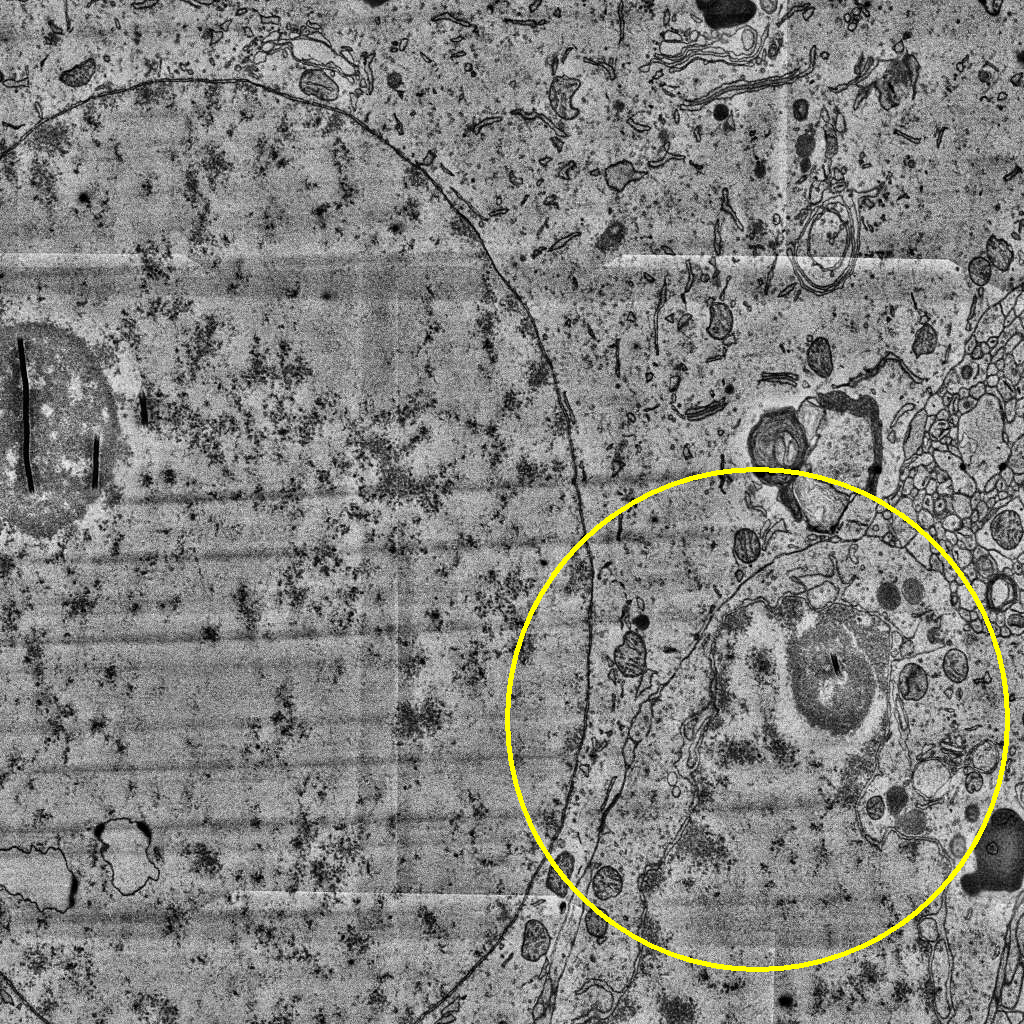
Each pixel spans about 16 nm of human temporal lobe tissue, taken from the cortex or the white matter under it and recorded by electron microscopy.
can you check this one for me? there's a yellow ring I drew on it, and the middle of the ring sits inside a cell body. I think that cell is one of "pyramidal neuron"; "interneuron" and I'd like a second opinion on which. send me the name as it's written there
interneuron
